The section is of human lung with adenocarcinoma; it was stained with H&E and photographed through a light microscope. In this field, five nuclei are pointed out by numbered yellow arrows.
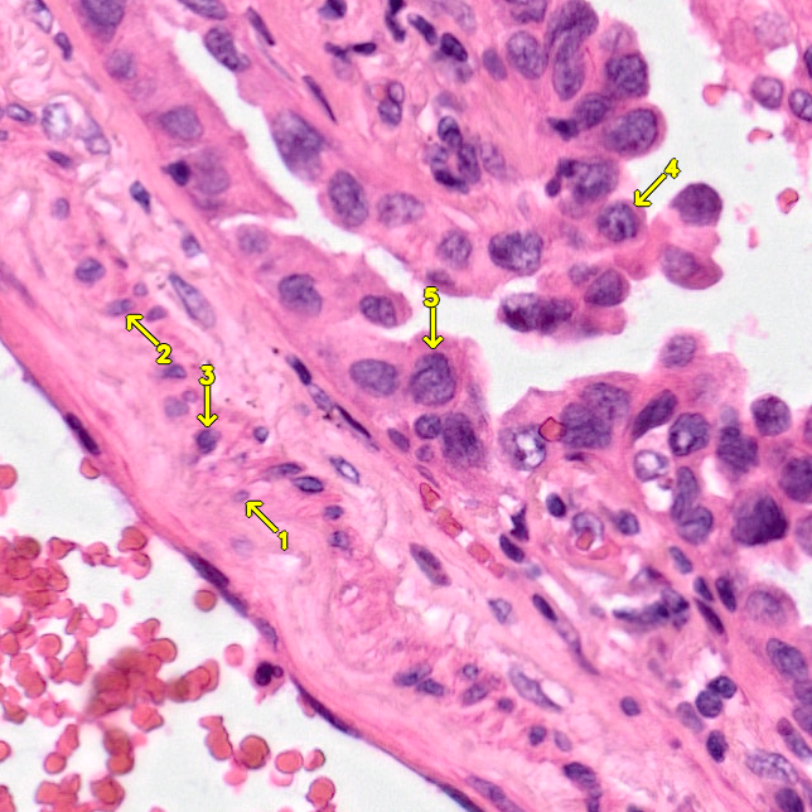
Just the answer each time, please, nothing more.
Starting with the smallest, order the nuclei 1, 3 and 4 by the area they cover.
1, 3, 4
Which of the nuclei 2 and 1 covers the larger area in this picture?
2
